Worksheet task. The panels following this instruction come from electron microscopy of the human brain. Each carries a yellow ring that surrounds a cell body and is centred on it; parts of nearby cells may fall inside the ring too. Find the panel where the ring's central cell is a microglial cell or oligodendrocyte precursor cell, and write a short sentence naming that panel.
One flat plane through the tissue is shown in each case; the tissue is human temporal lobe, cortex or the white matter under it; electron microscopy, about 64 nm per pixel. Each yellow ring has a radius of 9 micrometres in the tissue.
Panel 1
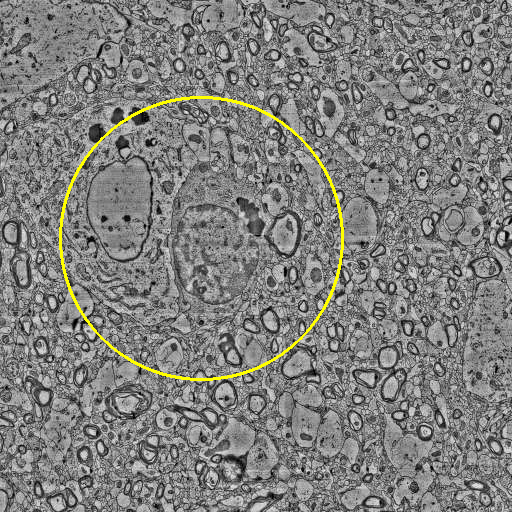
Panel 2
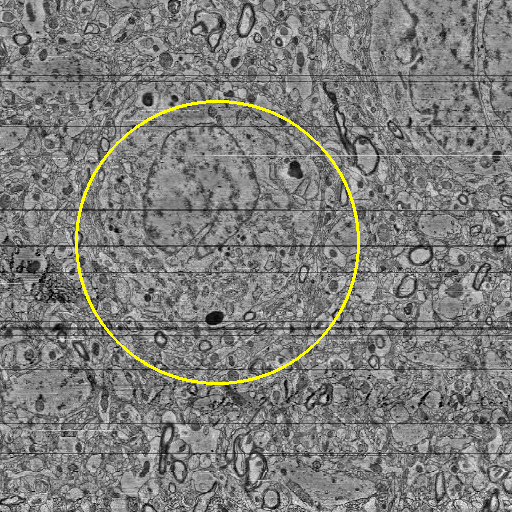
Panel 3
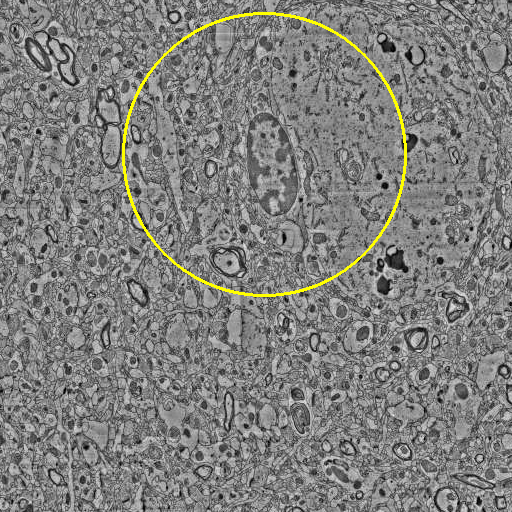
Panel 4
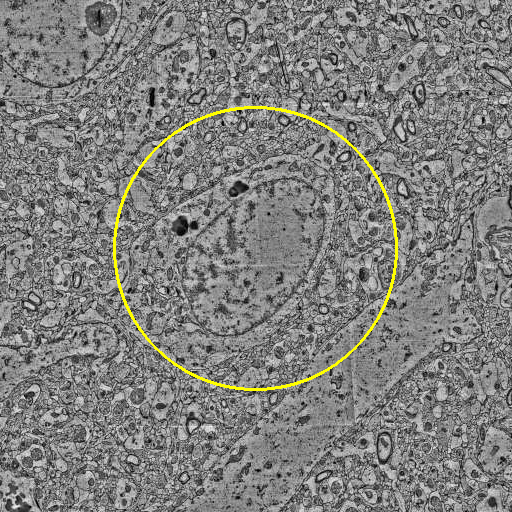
The cell sought is in Panel 3.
